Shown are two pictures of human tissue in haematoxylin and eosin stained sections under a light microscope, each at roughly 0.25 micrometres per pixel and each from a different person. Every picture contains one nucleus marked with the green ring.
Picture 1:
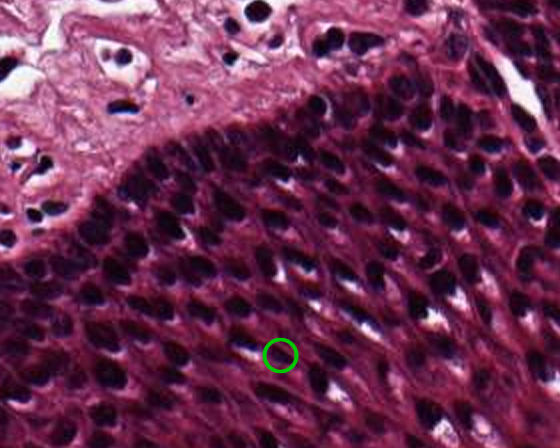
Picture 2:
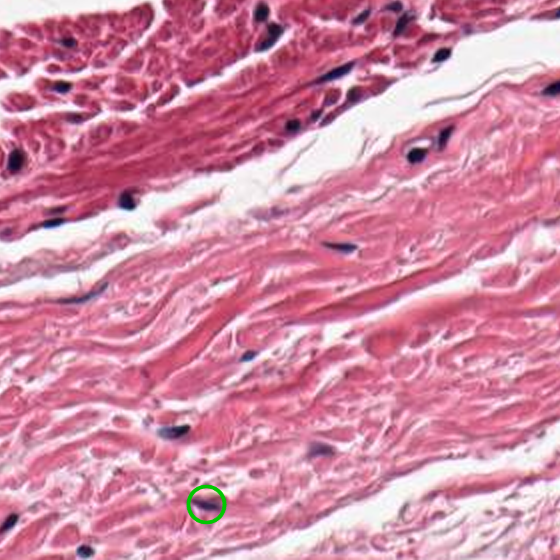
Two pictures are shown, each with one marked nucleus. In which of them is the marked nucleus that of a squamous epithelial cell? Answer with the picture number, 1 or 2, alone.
1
